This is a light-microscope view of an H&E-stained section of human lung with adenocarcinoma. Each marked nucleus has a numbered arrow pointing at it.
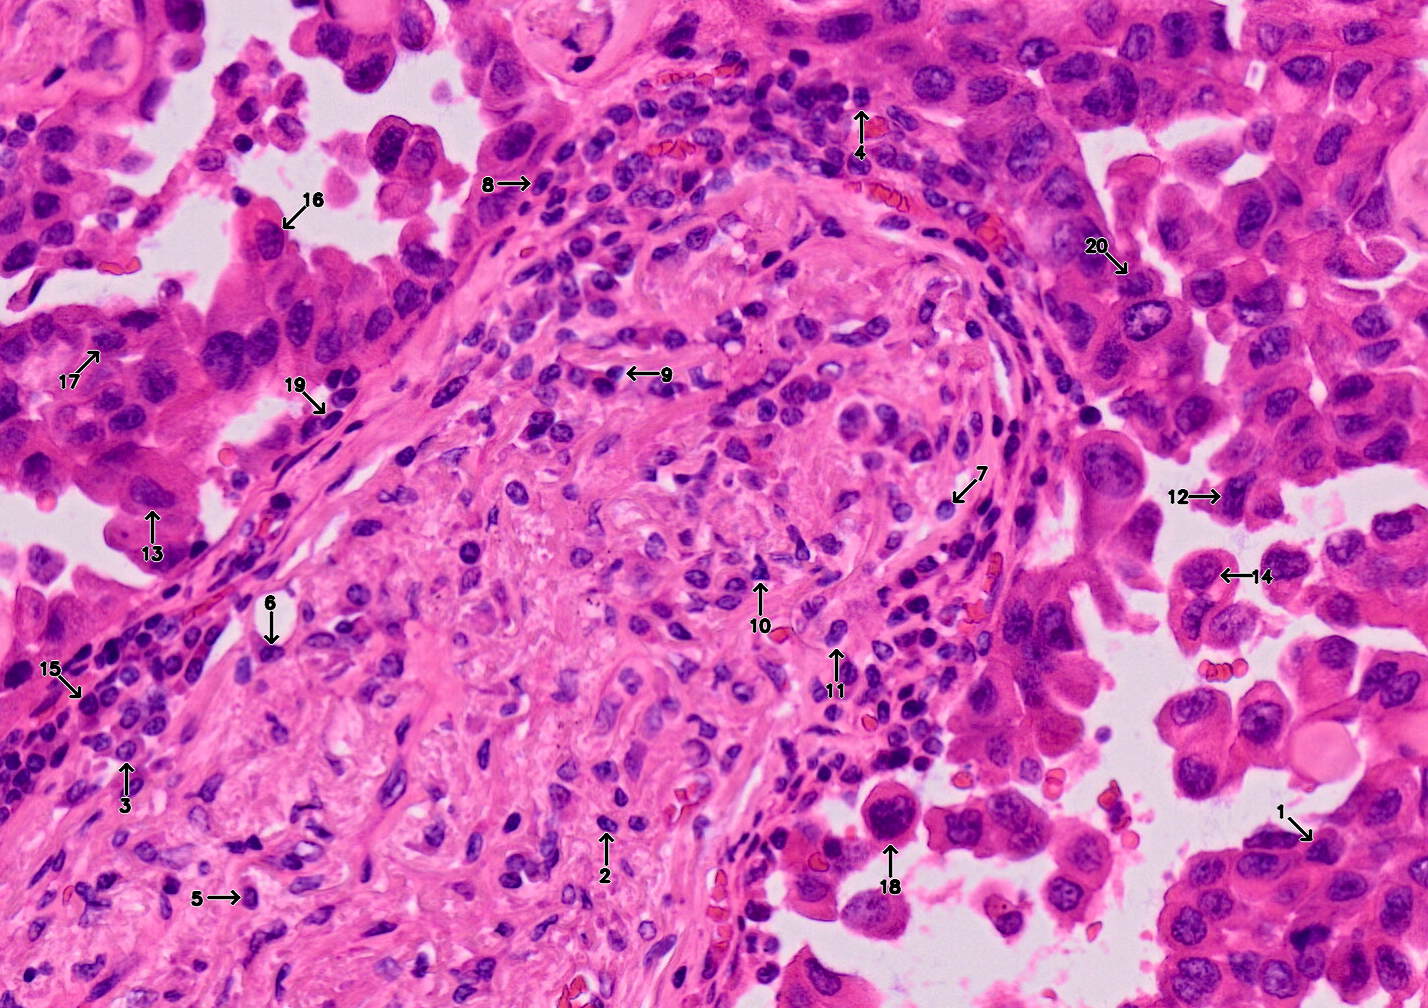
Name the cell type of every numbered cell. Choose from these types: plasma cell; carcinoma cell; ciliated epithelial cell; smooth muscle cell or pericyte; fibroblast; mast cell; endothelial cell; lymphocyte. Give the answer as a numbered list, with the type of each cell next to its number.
1. carcinoma cell
2. lymphocyte
3. plasma cell
4. lymphocyte
5. plasma cell
6. plasma cell
7. lymphocyte
8. lymphocyte
9. lymphocyte
10. lymphocyte
11. lymphocyte
12. carcinoma cell
13. carcinoma cell
14. carcinoma cell
15. plasma cell
16. carcinoma cell
17. carcinoma cell
18. carcinoma cell
19. lymphocyte
20. carcinoma cell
